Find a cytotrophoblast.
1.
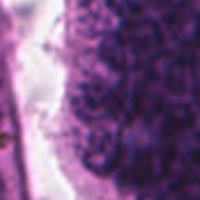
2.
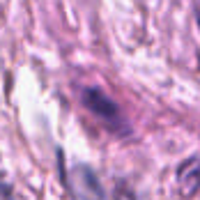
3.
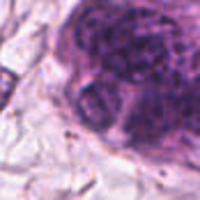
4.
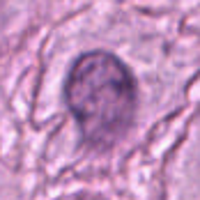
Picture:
3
